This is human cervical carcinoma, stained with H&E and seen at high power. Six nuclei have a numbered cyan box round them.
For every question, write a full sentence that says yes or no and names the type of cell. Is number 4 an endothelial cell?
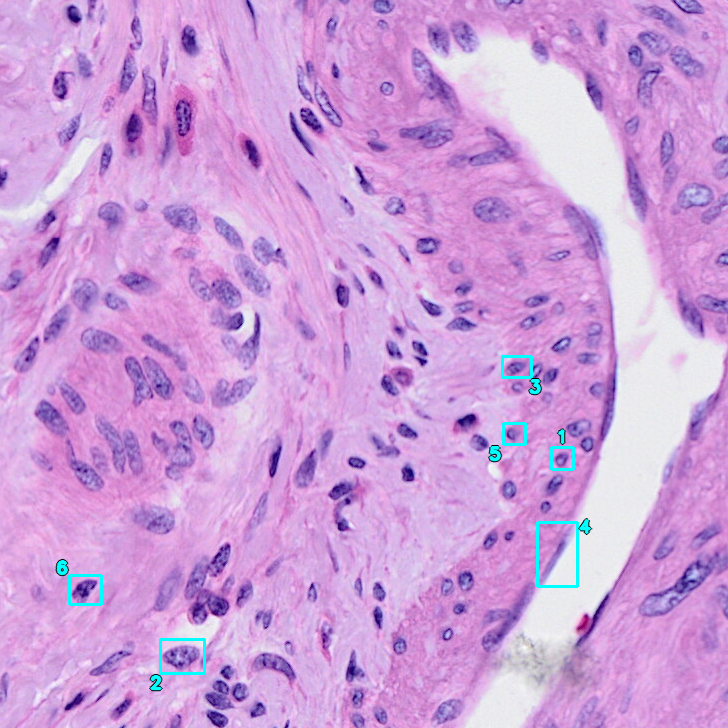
Yes, the cell given number 4 is an endothelial cell.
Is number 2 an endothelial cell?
Yes, the cell that bears the number 2 is an endothelial cell.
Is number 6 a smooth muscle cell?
No, the cell with number 6 is not a smooth muscle cell but a lymphocyte.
